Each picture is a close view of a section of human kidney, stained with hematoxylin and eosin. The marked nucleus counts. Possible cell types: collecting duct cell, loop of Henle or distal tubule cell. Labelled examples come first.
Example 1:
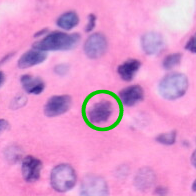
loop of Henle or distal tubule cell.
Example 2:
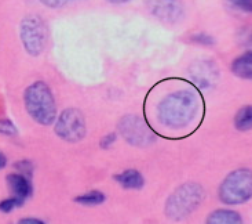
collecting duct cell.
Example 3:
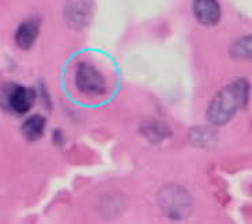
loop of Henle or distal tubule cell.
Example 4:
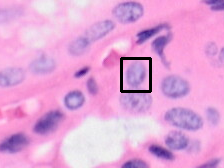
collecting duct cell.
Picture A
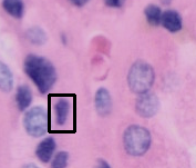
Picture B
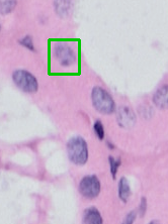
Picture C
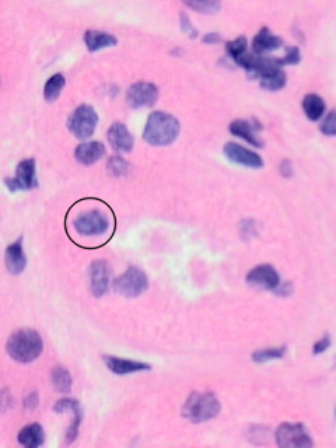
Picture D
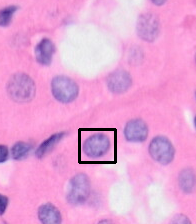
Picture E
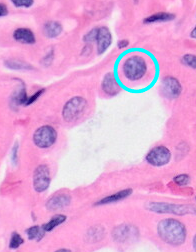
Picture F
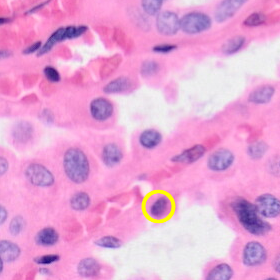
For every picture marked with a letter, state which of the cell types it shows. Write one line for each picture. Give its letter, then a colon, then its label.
A: collecting duct cell.
B: loop of Henle or distal tubule cell.
C: loop of Henle or distal tubule cell.
D: loop of Henle or distal tubule cell.
E: loop of Henle or distal tubule cell.
F: loop of Henle or distal tubule cell.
